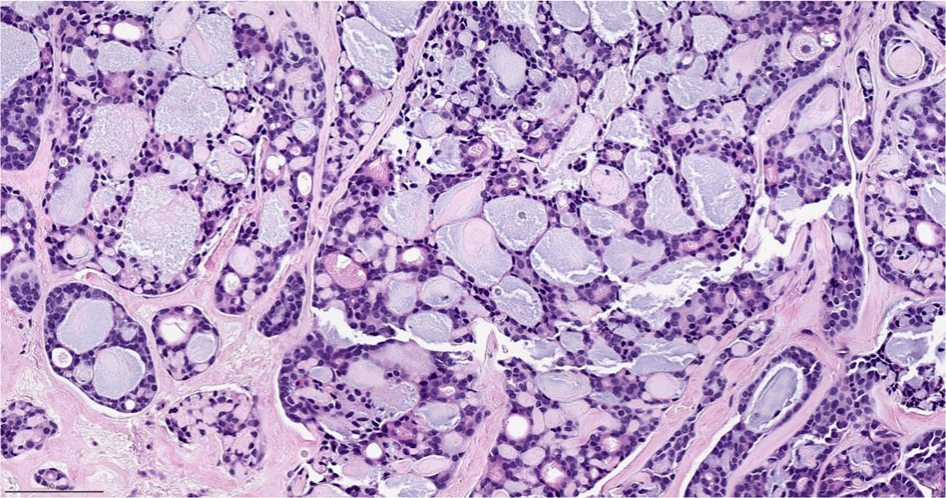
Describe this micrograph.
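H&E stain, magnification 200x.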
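This is a tumour made of sheets and nests of small cells with dark, round to angular nuclei and little cytoplasm, set in pink fibrous stroma. The nests are perforated by many round spaces, giving a sieve-like cribriform pattern. Most of the spaces are filled with pale blue-grey or glassy pink material rather than being true glandular openings.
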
